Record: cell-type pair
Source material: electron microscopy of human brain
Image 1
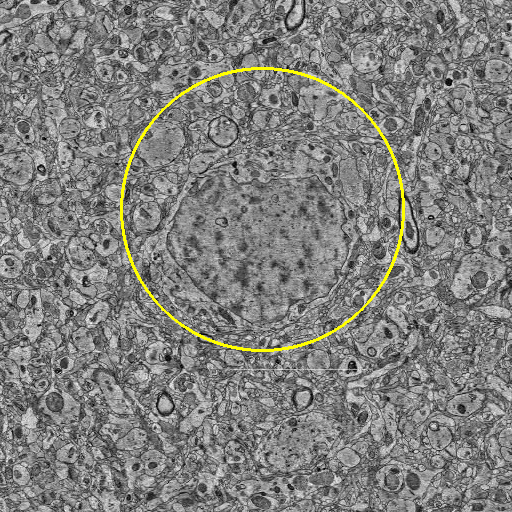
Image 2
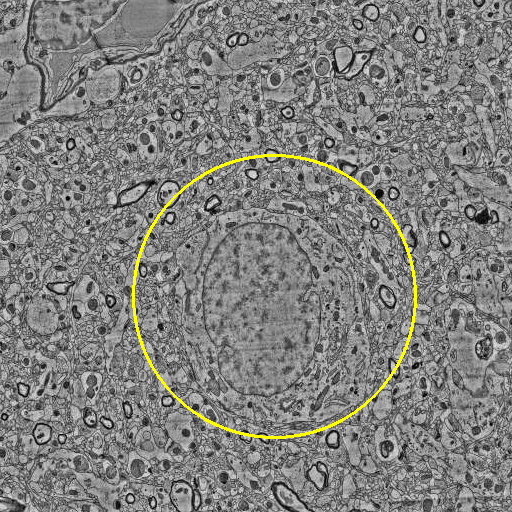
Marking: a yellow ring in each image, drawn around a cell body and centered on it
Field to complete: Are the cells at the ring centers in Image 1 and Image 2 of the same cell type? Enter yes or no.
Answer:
yes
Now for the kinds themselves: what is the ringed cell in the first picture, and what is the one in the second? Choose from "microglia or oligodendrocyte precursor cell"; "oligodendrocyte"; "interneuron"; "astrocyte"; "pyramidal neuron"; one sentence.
Each of the two cells is an interneuron.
